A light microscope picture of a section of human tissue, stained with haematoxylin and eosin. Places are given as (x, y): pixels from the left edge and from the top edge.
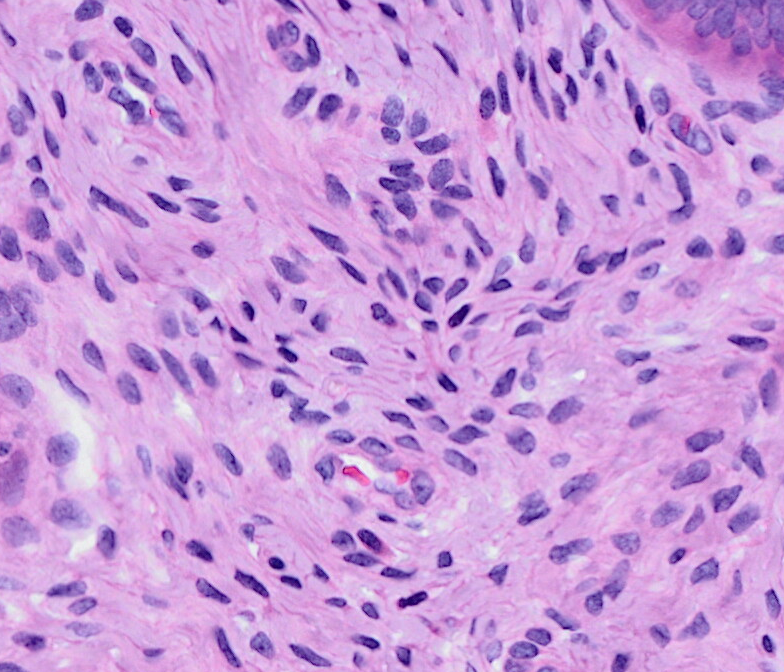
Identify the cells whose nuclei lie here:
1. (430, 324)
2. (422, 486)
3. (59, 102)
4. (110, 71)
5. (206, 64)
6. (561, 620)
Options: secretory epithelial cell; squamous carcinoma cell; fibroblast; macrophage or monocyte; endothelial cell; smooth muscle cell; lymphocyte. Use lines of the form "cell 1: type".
cell 1: fibroblast
cell 2: endothelial cell
cell 3: fibroblast
cell 4: endothelial cell
cell 5: fibroblast
cell 6: fibroblast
